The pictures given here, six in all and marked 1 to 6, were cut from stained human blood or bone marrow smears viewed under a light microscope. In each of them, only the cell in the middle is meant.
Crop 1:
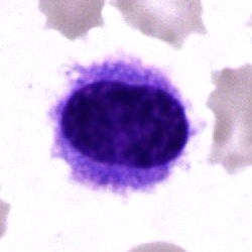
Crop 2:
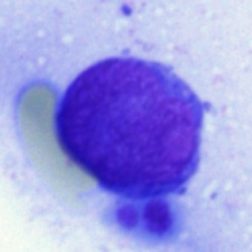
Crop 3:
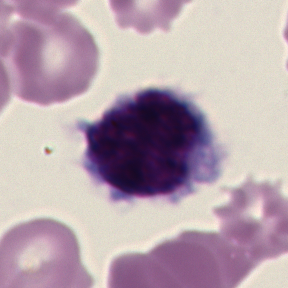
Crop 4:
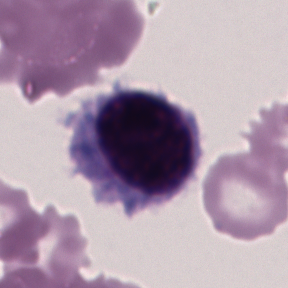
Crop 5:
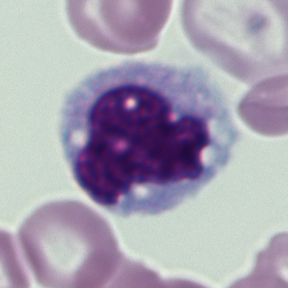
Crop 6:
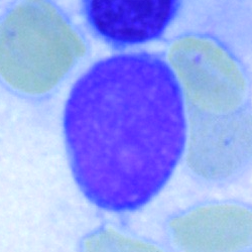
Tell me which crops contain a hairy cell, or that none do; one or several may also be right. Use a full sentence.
Found at the centre of crops 1, 3 and 4 are hairy cells.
